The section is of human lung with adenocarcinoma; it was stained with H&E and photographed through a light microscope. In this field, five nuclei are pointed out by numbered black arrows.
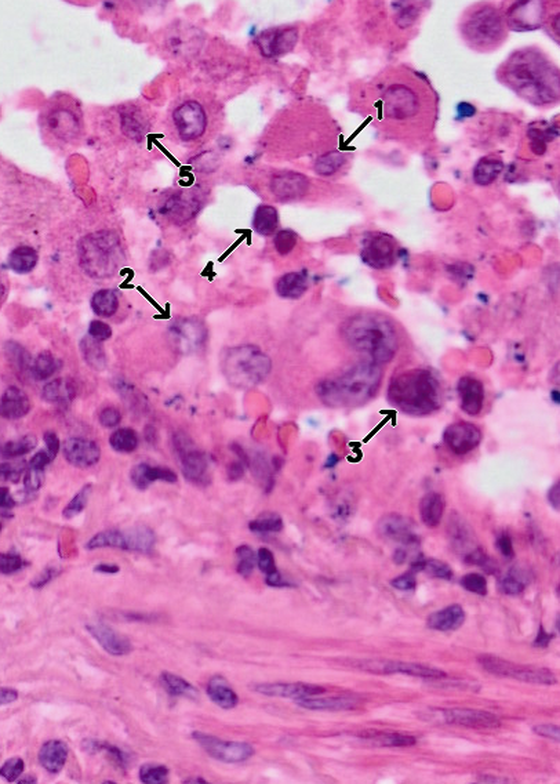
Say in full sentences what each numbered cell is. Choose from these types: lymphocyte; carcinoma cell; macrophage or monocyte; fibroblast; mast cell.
Cells 1, 2 and 5 are macrophages or monocytes. Cell 3 is a carcinoma cell. Cell 4 is a lymphocyte.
